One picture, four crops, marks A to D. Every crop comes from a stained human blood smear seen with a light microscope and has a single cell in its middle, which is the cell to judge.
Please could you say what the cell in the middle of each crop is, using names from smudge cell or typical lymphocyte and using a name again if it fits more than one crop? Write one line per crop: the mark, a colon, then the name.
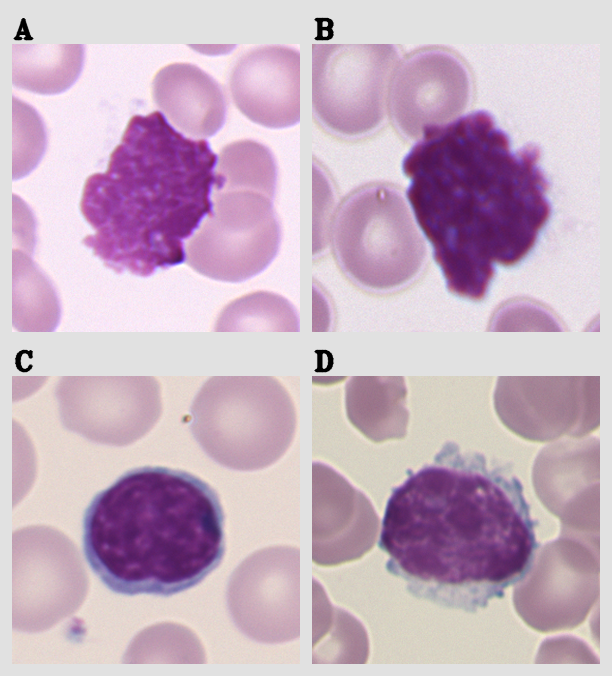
A: smudge cell
B: smudge cell
C: typical lymphocyte
D: typical lymphocyte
